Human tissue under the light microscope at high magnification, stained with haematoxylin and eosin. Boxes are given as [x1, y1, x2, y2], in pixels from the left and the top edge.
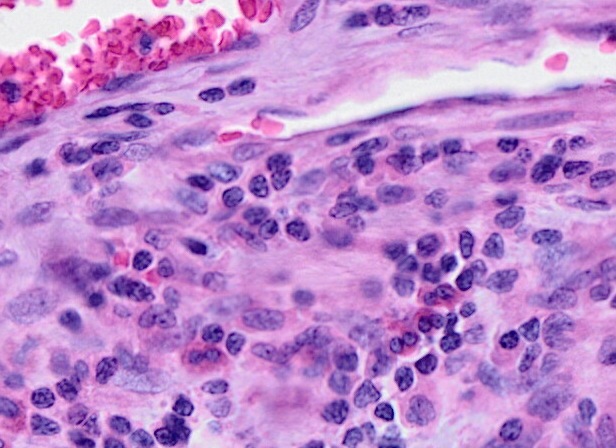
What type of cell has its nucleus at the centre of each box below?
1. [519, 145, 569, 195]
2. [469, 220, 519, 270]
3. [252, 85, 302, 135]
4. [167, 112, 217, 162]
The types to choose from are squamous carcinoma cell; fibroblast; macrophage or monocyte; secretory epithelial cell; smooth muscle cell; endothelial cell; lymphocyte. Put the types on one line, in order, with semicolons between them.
lymphocyte; lymphocyte; endothelial cell; endothelial cell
